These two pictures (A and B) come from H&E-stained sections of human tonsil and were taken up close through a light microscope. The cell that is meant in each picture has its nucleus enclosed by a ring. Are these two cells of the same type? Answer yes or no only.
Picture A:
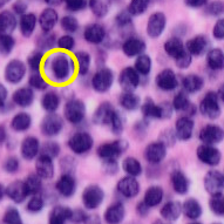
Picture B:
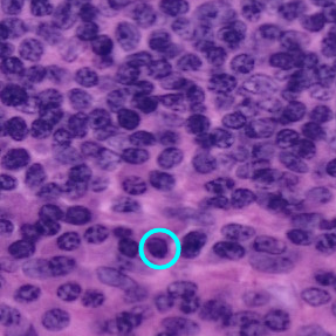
no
